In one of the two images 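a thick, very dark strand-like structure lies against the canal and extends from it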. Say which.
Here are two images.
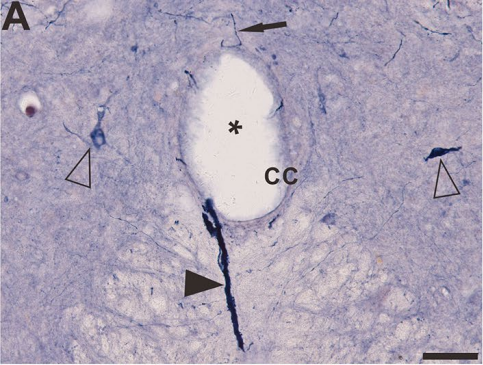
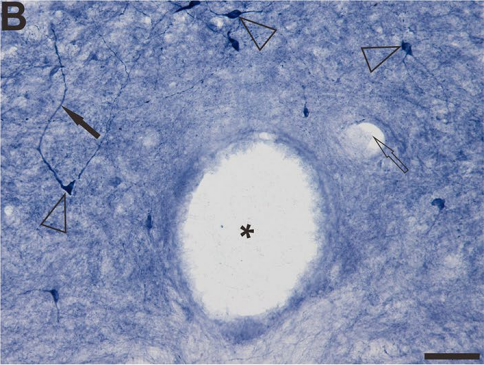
the first image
